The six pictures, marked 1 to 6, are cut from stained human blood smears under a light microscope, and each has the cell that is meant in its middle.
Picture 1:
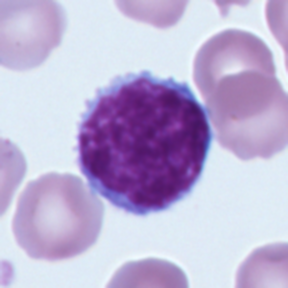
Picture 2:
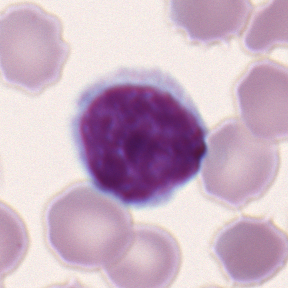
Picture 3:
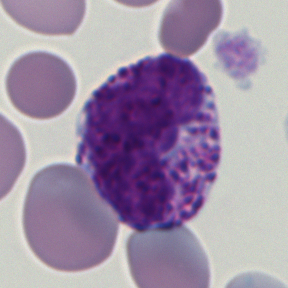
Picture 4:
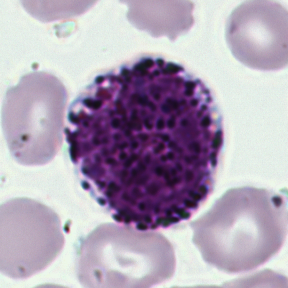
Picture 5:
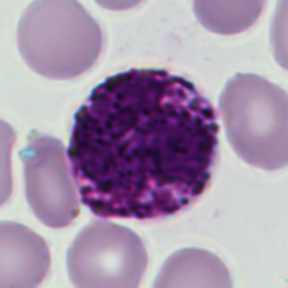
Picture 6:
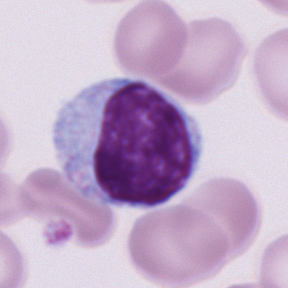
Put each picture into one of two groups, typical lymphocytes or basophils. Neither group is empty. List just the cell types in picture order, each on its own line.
typical lymphocyte
typical lymphocyte
basophil
basophil
basophil
typical lymphocyte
